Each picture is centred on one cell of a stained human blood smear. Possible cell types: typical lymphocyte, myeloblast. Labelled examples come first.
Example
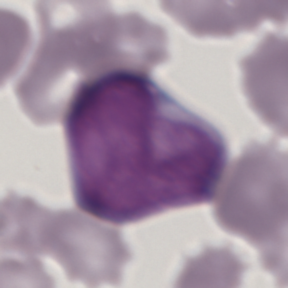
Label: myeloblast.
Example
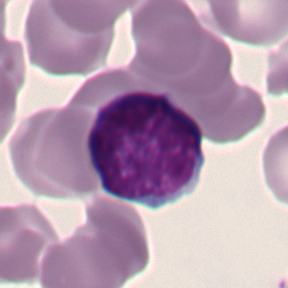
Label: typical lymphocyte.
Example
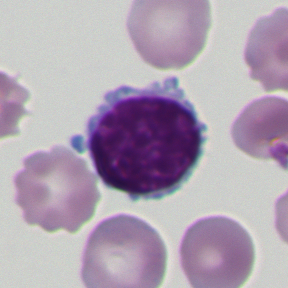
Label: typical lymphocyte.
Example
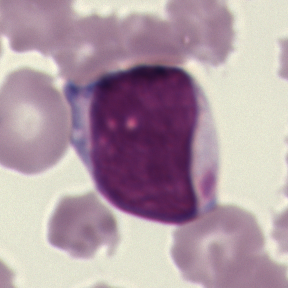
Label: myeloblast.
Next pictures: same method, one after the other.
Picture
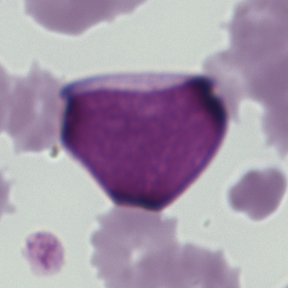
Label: myeloblast.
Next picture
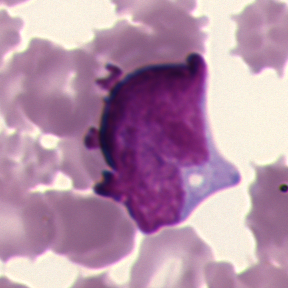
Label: myeloblast.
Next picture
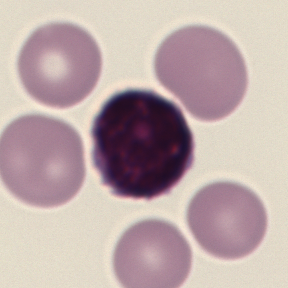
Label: typical lymphocyte.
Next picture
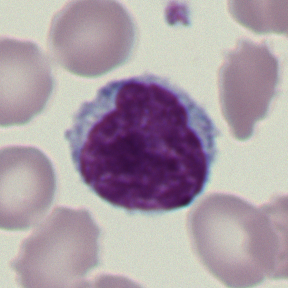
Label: typical lymphocyte.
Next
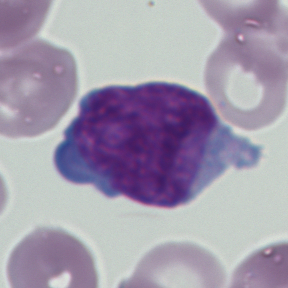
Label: myeloblast.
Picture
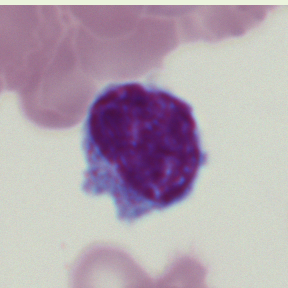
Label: typical lymphocyte.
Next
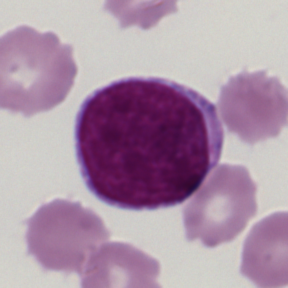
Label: myeloblast.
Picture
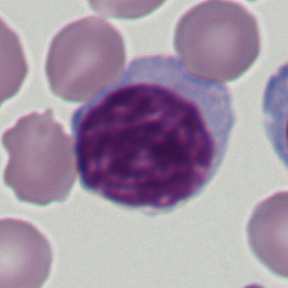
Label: typical lymphocyte.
